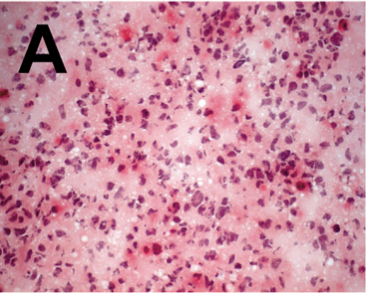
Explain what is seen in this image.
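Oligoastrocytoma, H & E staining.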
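This is a densely cellular glial tumour made up of neoplastic astrocytes lying in a pale pink fibrillary background. Their nuclei are dark purple, crowded and often elongated or angular, and scattered cells have bright pink eosinophilic cytoplasm. Small clear vacuoles are dotted through the tissue.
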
